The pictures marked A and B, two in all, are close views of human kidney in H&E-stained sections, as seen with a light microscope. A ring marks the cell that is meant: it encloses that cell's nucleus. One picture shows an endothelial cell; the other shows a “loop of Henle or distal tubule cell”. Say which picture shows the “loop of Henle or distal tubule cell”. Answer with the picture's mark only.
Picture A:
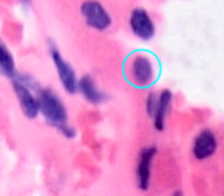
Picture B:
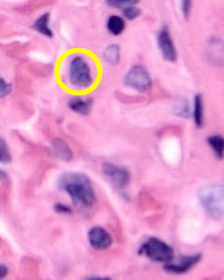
A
